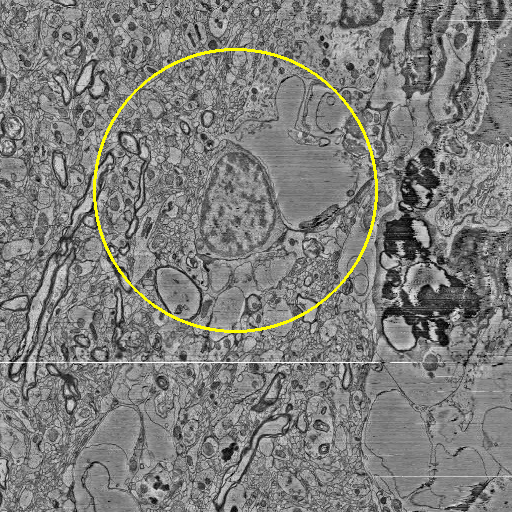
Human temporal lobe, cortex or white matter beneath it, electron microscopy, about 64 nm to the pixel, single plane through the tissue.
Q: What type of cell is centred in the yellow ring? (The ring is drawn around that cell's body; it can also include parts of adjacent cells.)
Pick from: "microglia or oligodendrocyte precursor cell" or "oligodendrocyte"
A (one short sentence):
The yellow ring is centred on an oligodendrocyte.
